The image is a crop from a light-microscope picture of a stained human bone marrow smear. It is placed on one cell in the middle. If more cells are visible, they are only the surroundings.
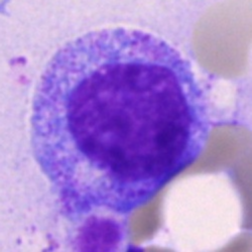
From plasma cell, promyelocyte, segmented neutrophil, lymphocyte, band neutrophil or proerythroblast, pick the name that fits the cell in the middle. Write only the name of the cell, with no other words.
promyelocyte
